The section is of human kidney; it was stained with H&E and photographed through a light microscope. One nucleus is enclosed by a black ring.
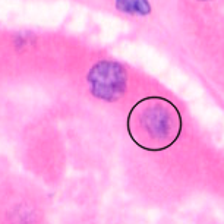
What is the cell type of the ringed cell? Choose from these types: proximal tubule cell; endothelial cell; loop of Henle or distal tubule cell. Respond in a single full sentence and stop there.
Within the stained tissue, the ringed cell is a proximal tubule cell.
